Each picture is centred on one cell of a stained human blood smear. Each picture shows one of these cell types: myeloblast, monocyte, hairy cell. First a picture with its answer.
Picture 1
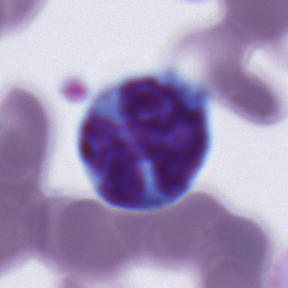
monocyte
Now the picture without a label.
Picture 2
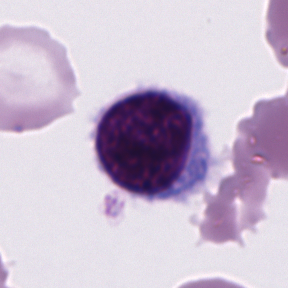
hairy cell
